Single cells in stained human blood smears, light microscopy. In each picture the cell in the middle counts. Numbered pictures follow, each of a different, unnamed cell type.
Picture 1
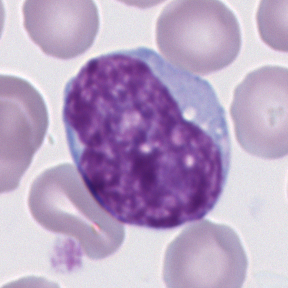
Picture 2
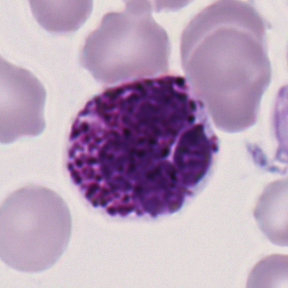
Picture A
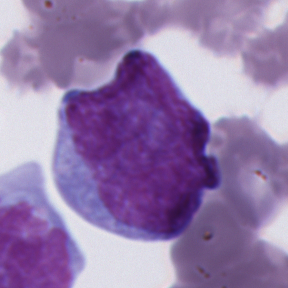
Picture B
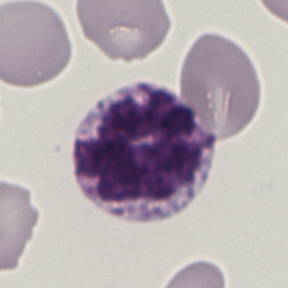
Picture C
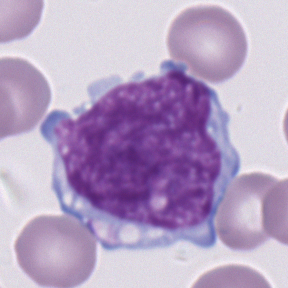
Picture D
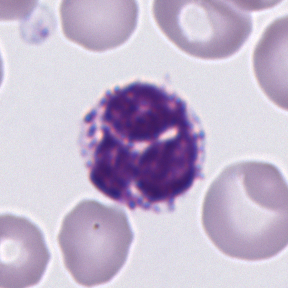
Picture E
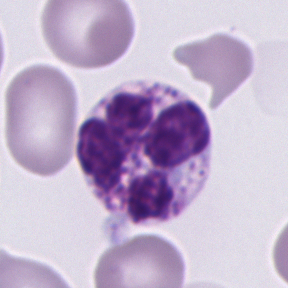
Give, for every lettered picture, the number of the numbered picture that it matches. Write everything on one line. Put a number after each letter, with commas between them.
A 1, B 2, C 1, D 2, E 2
